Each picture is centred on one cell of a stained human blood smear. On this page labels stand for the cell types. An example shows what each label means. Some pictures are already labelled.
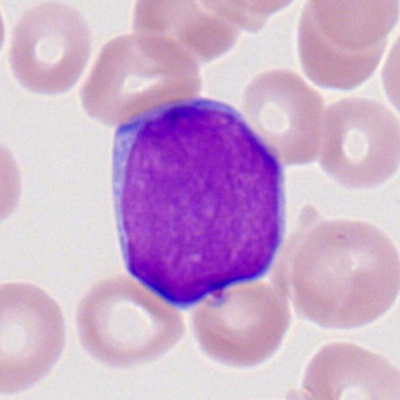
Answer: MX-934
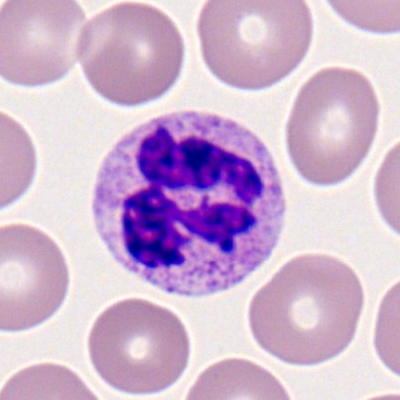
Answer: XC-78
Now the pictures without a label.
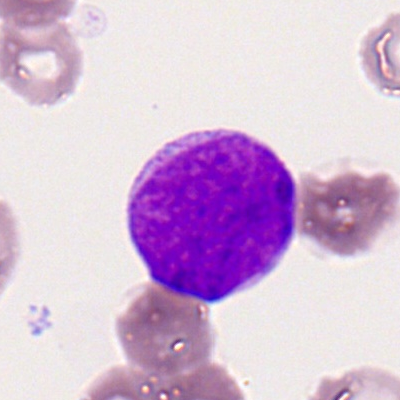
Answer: MX-934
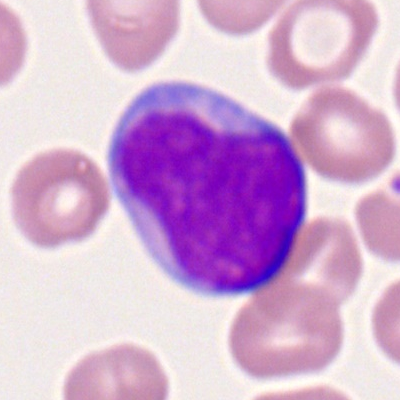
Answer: MX-934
